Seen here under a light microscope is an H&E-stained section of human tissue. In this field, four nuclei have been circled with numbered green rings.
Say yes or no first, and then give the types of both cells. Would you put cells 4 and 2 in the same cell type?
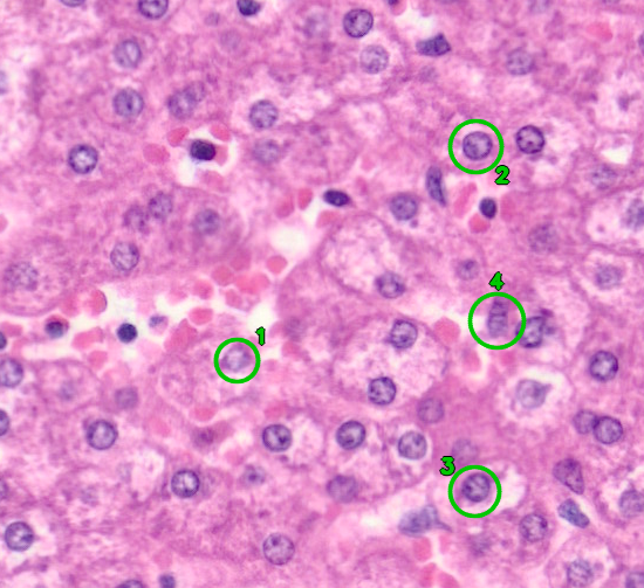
No, cell 4 is interpreted as a Kupffer cell, and cell 2 is interpreted as a hepatocyte.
